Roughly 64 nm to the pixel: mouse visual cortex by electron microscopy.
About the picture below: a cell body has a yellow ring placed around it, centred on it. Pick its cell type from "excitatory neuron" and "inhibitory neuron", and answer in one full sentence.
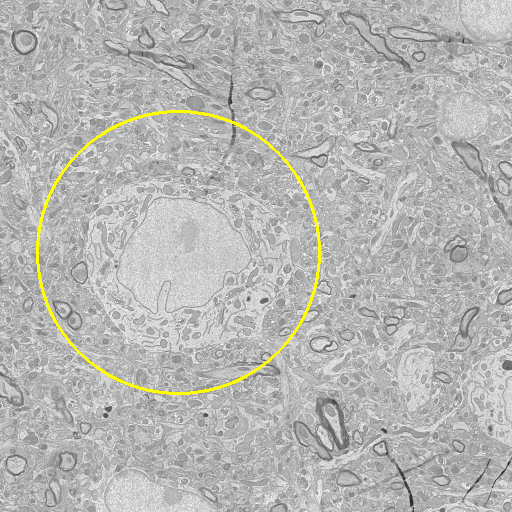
In the picture, an inhibitory neuron is the cell sitting at the centre of the yellow ring.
